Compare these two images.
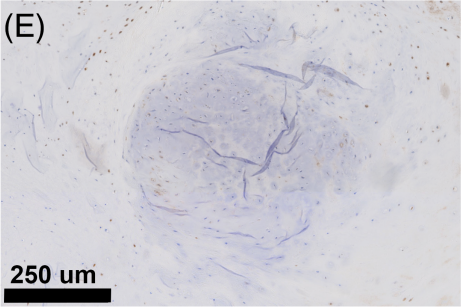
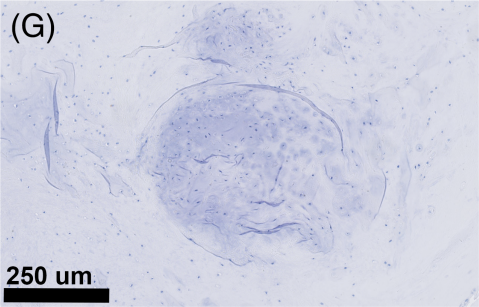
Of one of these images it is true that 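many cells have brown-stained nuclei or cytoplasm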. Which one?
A: The first image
